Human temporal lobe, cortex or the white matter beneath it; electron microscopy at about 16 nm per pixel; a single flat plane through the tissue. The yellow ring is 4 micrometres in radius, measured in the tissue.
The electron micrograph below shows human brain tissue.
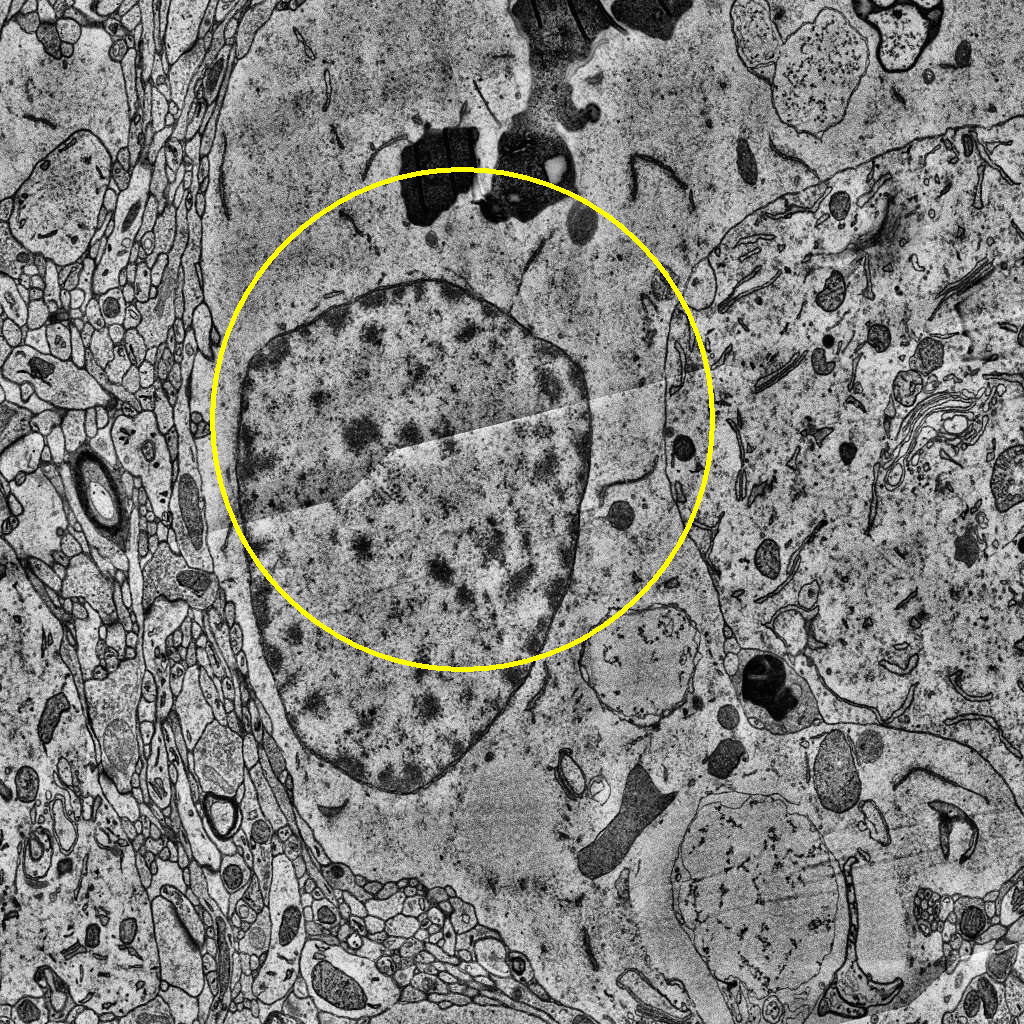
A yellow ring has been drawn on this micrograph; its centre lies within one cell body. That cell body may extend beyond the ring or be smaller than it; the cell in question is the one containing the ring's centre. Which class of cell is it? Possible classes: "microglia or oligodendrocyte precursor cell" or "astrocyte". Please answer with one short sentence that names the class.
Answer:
In the centre of the ring sits an astrocyte.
